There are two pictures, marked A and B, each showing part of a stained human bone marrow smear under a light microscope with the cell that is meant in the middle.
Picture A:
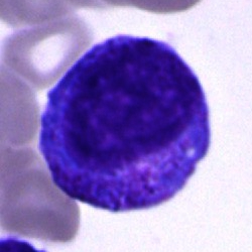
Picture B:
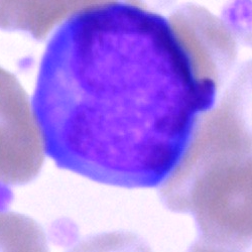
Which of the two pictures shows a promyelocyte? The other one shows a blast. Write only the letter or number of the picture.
A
